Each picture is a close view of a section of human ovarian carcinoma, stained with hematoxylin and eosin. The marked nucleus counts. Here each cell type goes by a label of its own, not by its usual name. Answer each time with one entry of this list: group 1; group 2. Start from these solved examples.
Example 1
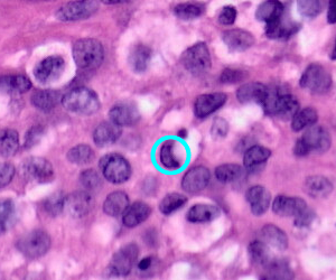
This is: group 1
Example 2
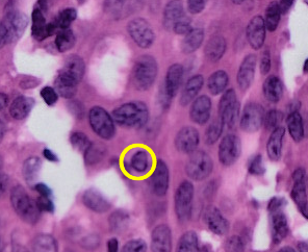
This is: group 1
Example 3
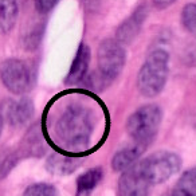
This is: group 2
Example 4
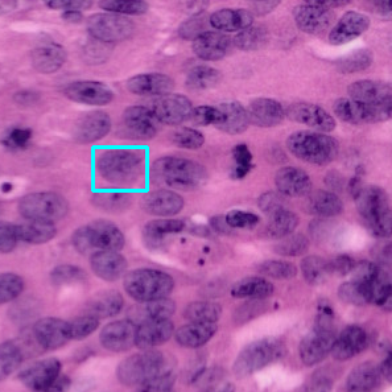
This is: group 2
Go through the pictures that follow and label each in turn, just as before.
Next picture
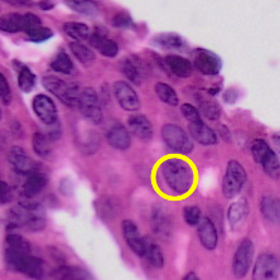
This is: group 2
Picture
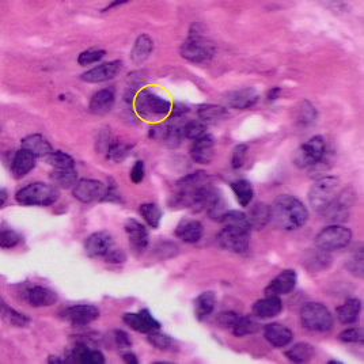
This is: group 2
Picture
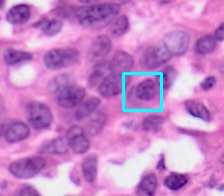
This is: group 2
